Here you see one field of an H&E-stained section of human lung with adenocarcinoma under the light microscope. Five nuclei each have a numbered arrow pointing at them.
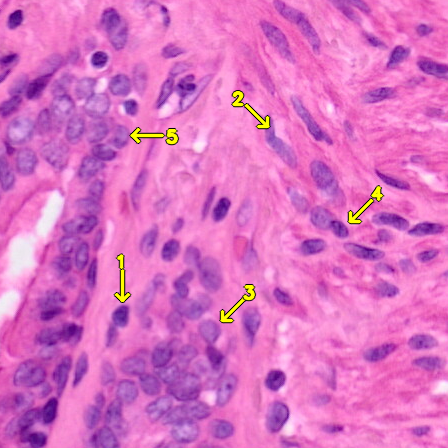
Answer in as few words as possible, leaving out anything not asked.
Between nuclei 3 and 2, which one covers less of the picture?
3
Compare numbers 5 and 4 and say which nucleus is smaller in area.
4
